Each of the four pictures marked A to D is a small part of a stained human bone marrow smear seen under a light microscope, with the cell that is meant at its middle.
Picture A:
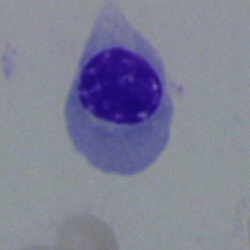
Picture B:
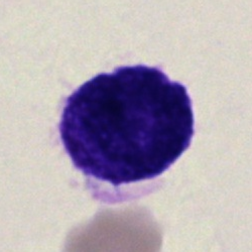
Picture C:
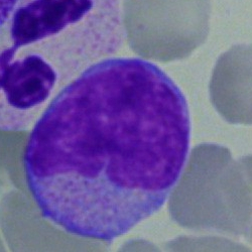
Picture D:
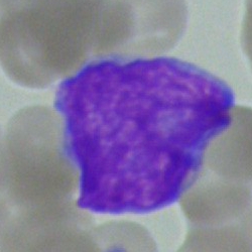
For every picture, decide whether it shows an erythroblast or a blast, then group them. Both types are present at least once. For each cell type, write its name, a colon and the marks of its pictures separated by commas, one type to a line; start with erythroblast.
erythroblast: A
blast: B, C, D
